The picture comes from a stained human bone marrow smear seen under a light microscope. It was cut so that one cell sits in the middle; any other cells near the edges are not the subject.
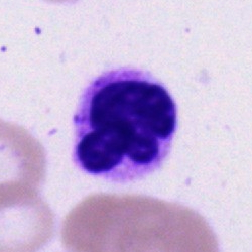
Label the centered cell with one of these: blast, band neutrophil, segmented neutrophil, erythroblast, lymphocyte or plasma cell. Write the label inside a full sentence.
The cell that lies at the centre of the crop is a segmented neutrophil.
